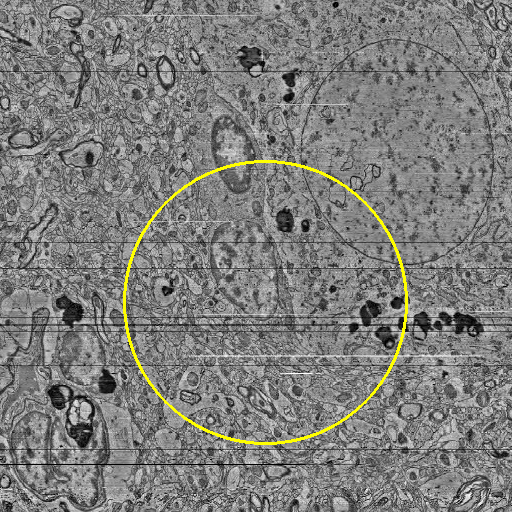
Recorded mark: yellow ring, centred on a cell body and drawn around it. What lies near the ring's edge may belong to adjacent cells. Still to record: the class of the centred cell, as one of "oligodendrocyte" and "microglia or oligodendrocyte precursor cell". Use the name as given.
oligodendrocyte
